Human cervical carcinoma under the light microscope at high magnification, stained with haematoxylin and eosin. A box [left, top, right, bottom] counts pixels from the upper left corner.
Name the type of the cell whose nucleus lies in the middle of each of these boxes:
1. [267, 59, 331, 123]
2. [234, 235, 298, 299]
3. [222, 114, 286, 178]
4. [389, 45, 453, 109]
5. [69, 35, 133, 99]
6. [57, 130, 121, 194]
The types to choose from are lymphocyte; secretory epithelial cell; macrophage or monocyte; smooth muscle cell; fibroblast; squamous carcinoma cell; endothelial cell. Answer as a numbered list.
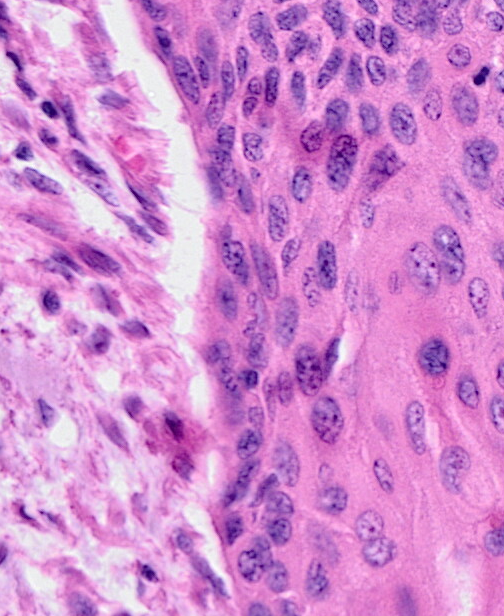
1. squamous carcinoma cell
2. squamous carcinoma cell
3. squamous carcinoma cell
4. squamous carcinoma cell
5. fibroblast
6. fibroblast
